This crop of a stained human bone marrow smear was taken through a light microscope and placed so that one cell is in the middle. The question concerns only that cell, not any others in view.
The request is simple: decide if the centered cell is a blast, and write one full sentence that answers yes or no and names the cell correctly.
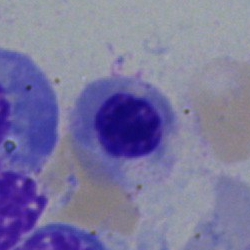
No, the central cell here is an erythroblast; calling it a blast is not right.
